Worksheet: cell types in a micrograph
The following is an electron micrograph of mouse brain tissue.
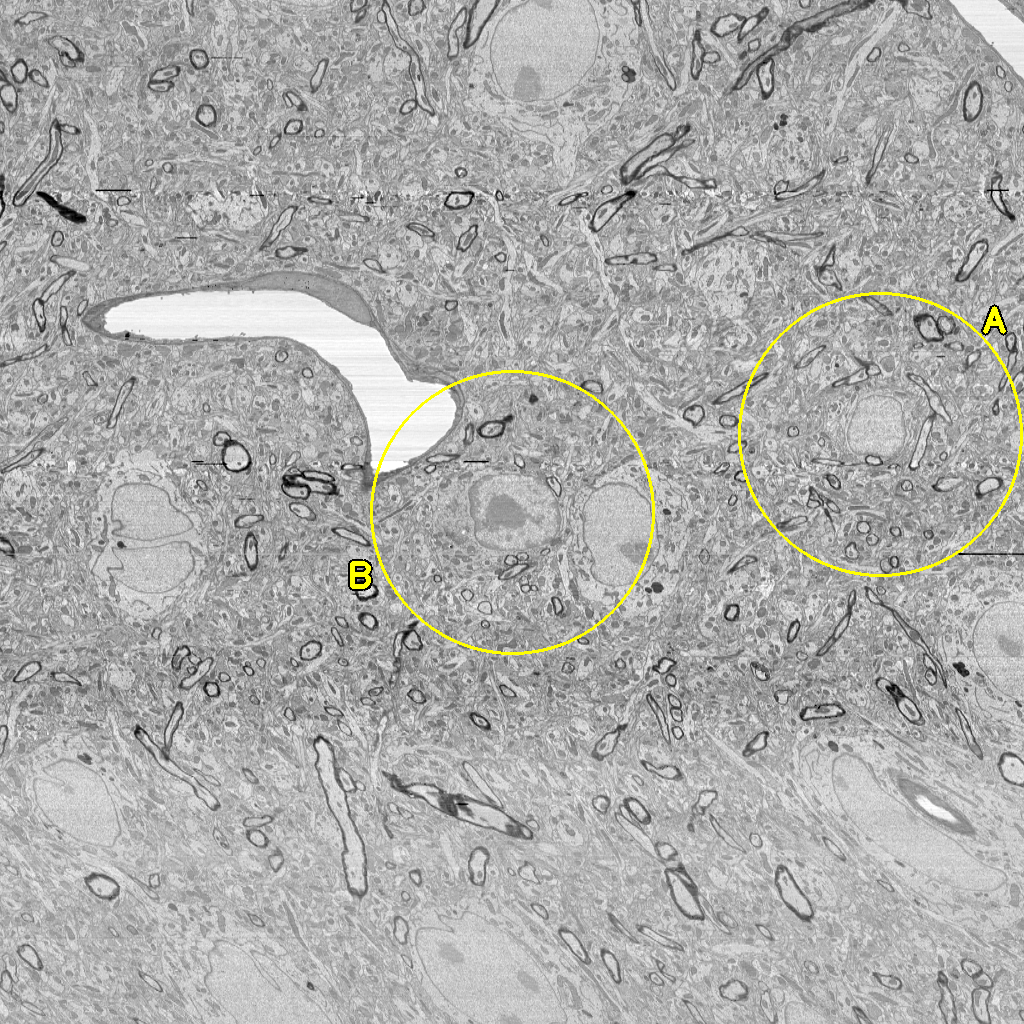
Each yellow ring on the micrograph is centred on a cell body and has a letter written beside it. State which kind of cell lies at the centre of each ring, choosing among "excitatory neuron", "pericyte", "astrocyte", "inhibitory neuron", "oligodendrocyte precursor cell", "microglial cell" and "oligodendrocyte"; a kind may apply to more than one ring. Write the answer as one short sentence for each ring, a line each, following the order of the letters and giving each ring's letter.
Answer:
Ring A has an oligodendrocyte precursor cell in its centre.
Ring B has an oligodendrocyte in its centre.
